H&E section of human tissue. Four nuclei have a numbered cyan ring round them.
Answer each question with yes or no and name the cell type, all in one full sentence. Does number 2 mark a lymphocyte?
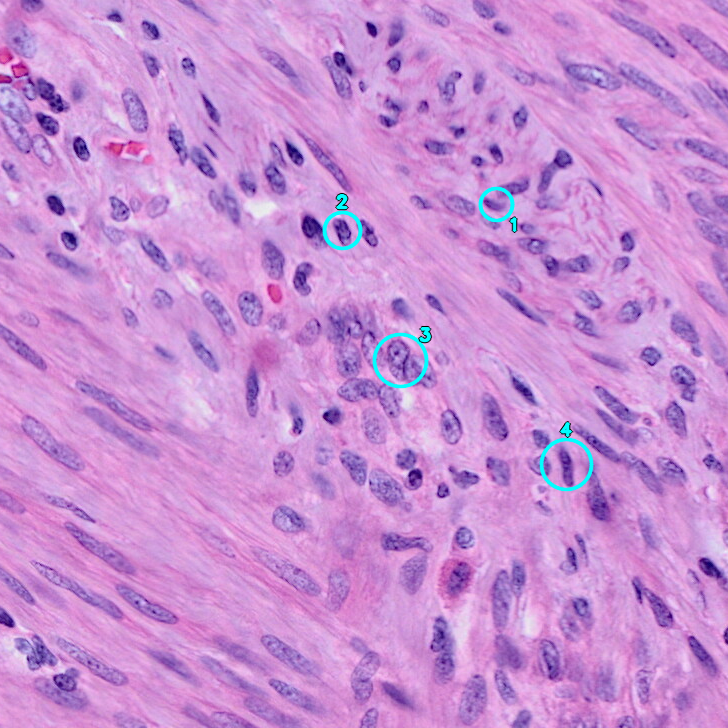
Yes, looking at number 2, that cell is a lymphocyte.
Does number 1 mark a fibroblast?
No, calling cell 1 a fibroblast is a mistake; it is a smooth muscle cell.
